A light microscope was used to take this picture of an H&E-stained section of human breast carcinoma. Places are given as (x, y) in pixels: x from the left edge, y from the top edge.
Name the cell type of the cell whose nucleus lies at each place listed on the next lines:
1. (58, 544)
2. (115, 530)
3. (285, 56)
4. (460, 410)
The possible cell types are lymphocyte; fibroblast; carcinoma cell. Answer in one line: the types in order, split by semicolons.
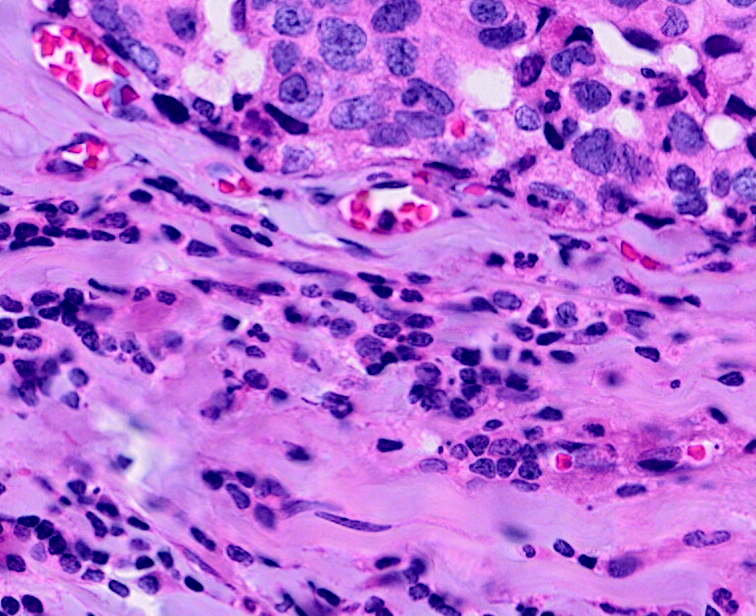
lymphocyte; lymphocyte; carcinoma cell; lymphocyte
